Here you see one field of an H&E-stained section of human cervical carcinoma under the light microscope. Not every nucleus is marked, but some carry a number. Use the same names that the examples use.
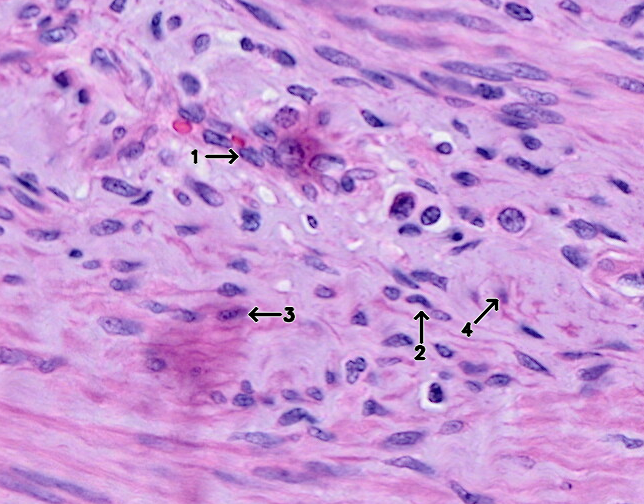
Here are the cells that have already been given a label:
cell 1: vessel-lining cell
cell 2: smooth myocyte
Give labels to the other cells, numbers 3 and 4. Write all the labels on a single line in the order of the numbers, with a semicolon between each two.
smooth myocyte; smooth myocyte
